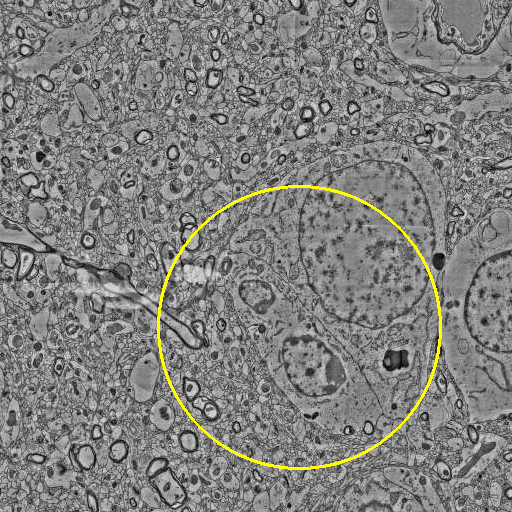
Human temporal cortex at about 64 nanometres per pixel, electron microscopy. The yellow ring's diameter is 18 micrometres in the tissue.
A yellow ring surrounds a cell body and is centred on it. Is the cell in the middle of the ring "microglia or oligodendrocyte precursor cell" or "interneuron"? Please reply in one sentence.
The ring is centred on a microglial cell or oligodendrocyte precursor cell.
